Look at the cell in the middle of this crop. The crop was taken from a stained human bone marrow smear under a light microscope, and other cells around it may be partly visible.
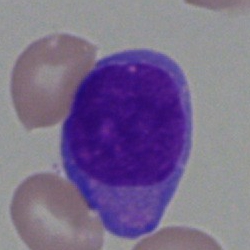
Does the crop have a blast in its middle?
yes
